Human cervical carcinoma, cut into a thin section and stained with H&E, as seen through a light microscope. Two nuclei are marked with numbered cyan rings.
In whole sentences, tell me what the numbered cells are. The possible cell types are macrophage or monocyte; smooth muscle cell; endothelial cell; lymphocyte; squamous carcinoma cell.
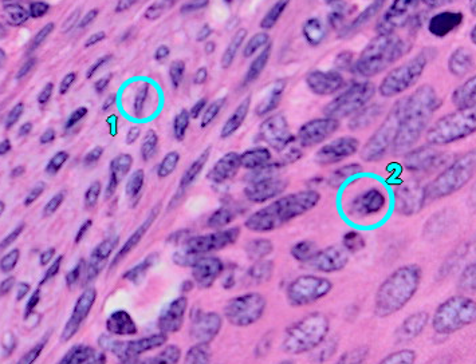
Cell 1 is a smooth muscle cell. Cell 2 is a squamous carcinoma cell.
